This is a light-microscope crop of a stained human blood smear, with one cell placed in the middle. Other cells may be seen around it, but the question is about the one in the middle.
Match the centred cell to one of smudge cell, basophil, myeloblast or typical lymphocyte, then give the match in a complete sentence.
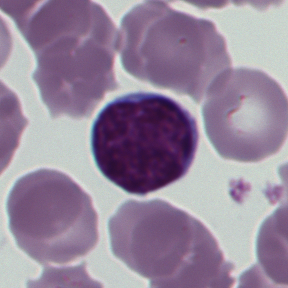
For this crop, the central cell is a typical lymphocyte.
